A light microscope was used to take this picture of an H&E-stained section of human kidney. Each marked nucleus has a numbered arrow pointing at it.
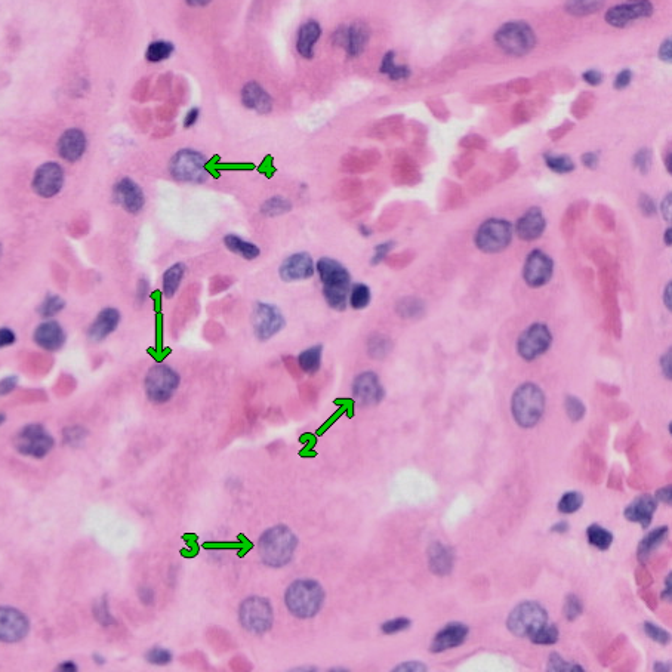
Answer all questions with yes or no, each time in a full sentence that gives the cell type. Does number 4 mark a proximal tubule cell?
No, it is a loop of Henle or distal tubule cell, not a proximal tubule cell, at number 4.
